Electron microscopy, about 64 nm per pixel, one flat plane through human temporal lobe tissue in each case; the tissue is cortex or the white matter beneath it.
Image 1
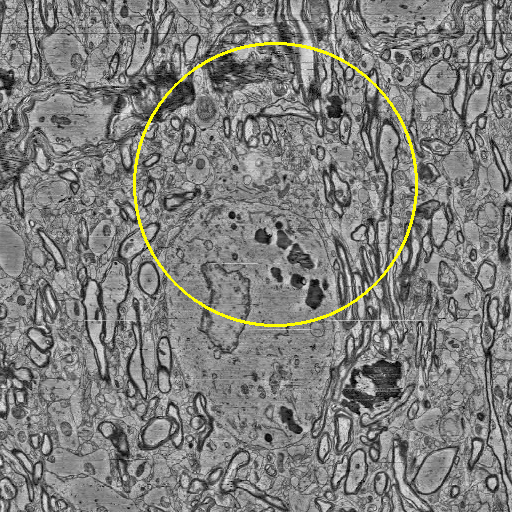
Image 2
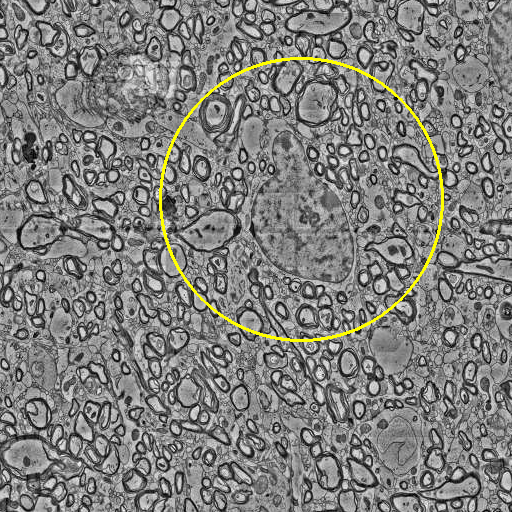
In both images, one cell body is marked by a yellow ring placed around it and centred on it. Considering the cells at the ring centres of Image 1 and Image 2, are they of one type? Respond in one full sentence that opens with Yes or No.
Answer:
Yes, a single type applies to the ring-centred cells of both Image 1 and Image 2.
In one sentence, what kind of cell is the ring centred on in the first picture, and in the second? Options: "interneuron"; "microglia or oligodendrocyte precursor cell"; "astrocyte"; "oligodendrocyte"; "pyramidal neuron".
In each picture the ringed cell is a microglial cell or oligodendrocyte precursor cell.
